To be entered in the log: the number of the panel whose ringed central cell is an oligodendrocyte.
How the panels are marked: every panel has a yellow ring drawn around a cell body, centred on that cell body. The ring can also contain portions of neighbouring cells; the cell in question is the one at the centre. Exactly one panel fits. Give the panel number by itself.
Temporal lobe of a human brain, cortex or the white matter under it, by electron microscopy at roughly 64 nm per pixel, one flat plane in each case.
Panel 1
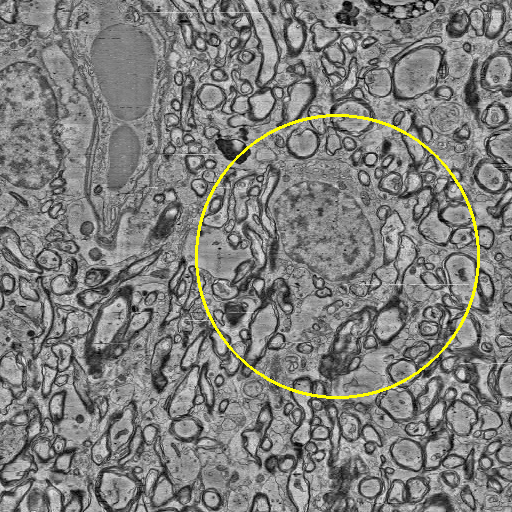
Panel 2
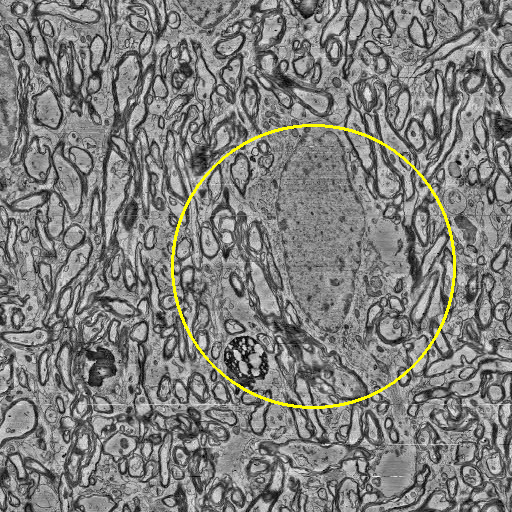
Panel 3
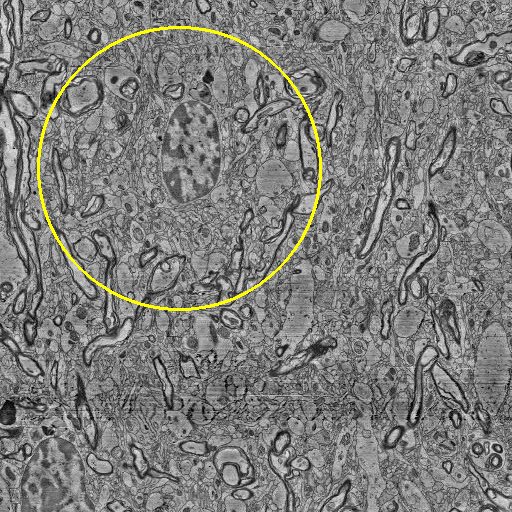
1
